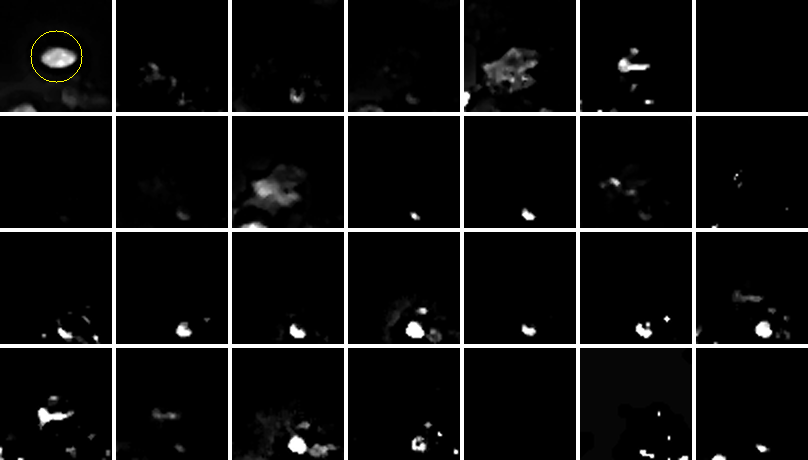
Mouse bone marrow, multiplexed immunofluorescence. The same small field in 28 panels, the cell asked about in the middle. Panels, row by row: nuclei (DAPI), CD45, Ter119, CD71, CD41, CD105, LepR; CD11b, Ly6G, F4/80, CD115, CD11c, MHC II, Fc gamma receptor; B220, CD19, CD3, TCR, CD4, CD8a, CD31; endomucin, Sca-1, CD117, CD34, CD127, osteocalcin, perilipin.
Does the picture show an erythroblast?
No, it shows a capillary endothelial cell.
